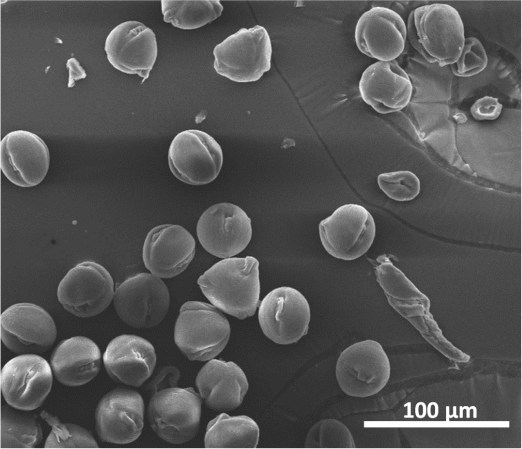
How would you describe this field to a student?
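Many pollen grains lie scattered over a flat surface at lower magnification. They are alike in size and shape, mostly rounded to slightly oval, and stand apart from one another or in small loose clusters. Many show a furrow or fold on the side facing the viewer. A few pieces of debris and an elongated fragment lie among them.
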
